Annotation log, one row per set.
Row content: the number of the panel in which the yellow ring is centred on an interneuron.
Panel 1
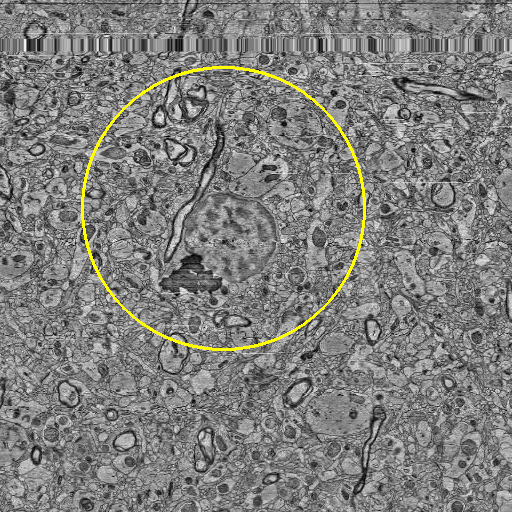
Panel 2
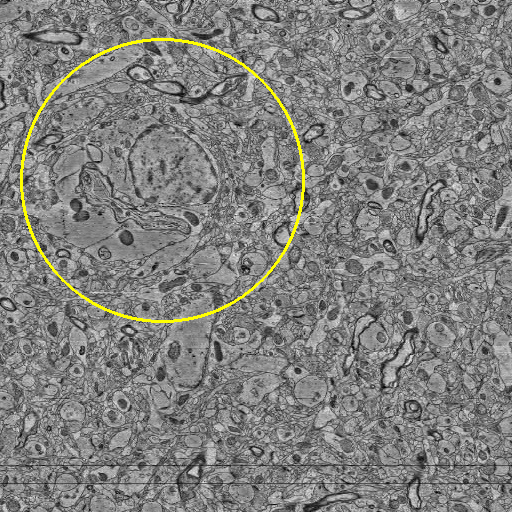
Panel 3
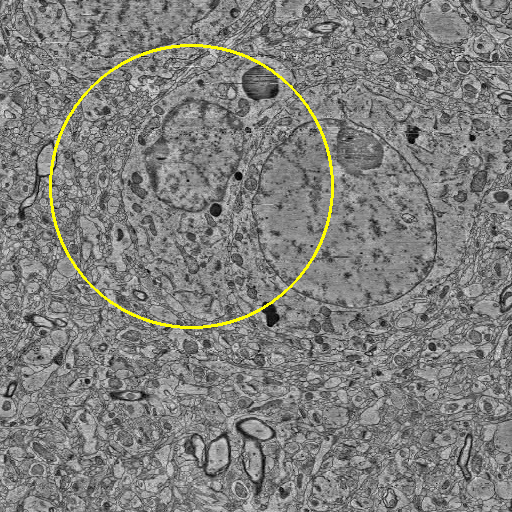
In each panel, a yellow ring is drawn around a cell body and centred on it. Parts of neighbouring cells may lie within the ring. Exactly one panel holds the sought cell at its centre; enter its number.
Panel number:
3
